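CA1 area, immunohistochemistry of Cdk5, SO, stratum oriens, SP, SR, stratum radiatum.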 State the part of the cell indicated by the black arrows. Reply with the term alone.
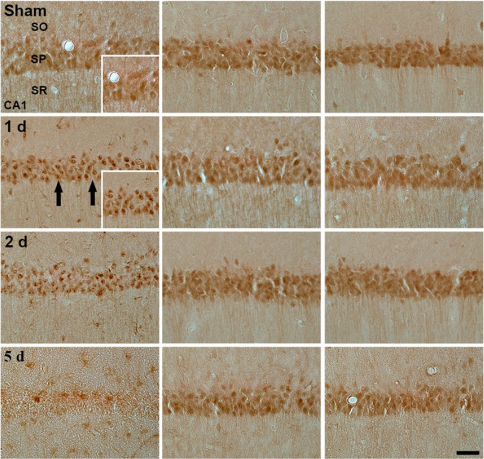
nuclei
